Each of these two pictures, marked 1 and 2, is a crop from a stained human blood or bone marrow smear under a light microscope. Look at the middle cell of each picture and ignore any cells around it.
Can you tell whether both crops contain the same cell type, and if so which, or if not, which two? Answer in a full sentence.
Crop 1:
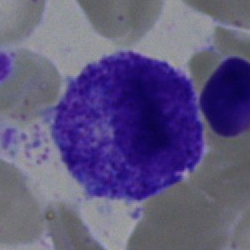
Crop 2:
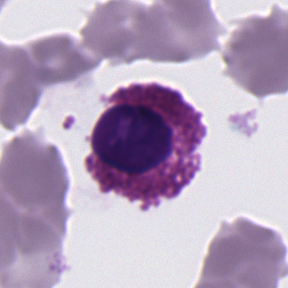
No, a promyelocyte is depicted by crop 1, an eosinophil by crop 2.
